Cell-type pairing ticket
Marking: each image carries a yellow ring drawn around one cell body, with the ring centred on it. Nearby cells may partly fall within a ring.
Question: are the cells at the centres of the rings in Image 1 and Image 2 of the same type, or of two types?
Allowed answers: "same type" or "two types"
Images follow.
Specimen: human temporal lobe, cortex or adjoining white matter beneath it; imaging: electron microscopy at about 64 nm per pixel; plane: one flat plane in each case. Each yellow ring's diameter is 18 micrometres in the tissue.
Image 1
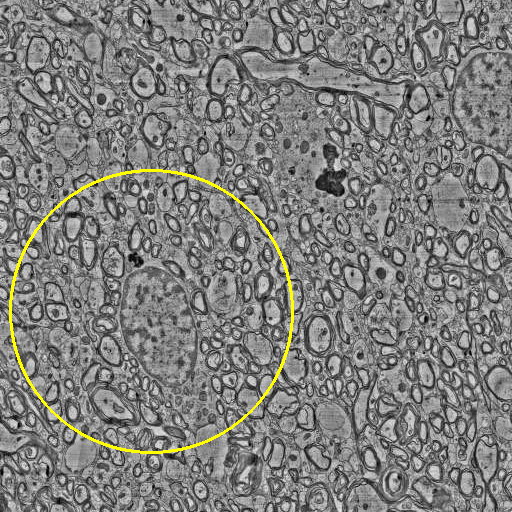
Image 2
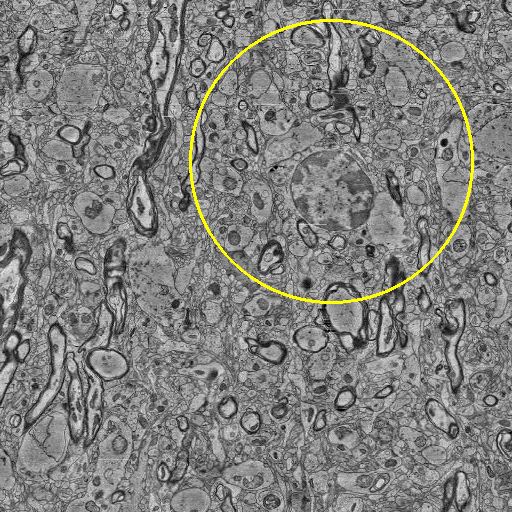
two types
